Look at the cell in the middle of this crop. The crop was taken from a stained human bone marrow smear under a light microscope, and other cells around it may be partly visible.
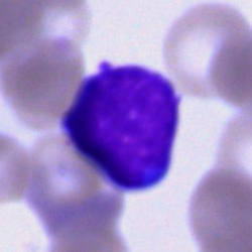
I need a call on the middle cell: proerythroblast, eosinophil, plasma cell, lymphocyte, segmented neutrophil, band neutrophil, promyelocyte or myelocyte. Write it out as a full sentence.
Regarding the central cell, it is a lymphocyte.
